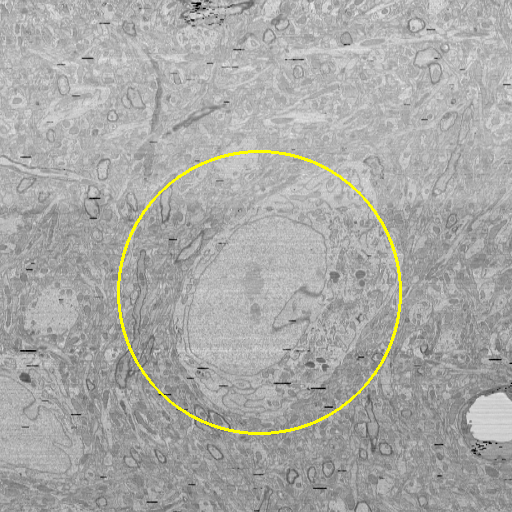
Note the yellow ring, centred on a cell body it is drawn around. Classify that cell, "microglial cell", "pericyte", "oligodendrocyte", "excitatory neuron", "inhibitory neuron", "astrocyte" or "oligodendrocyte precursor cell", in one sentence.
The cell the ring is centred on is an inhibitory neuron.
